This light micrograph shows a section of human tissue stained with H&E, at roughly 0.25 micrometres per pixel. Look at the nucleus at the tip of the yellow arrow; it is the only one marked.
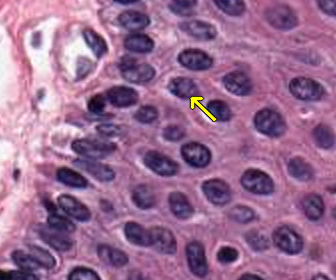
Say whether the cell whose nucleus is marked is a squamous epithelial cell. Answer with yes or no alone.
yes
